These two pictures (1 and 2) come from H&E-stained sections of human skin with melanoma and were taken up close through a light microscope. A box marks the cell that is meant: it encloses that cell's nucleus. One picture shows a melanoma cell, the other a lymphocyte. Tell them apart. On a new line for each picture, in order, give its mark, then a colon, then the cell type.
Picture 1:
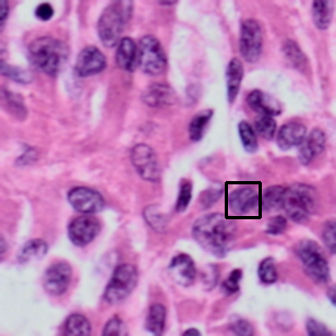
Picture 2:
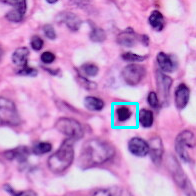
1: melanoma cell
2: lymphocyte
